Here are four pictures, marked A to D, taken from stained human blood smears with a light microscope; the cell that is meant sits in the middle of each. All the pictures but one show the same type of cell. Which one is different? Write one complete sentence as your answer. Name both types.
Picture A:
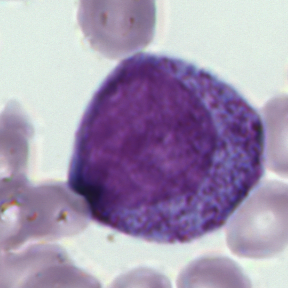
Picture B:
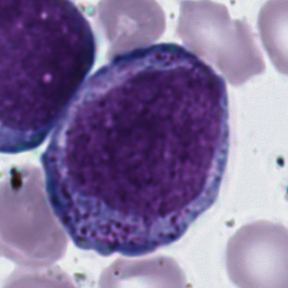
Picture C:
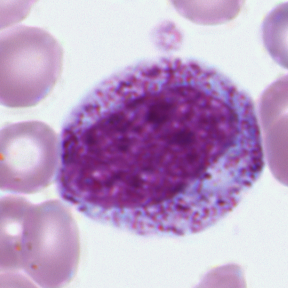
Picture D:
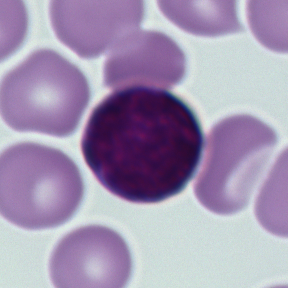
The others show promyelocytes, but picture D shows a myeloblast.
